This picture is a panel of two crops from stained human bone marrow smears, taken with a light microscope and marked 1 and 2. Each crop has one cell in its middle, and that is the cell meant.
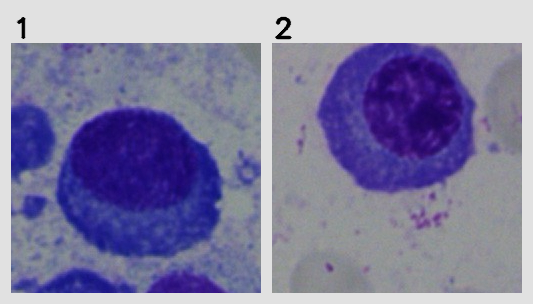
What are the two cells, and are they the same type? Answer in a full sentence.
Yes, the cells that the two crops centre on are plasma cells.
